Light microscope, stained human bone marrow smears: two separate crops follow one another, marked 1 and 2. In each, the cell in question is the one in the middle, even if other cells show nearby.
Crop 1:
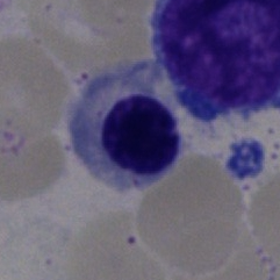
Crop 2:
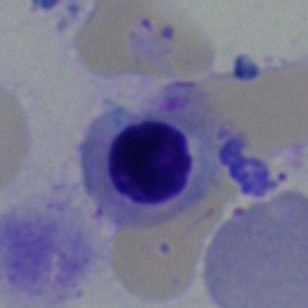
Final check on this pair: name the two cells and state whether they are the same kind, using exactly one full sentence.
Yes, normoblasts are what the two crops show.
